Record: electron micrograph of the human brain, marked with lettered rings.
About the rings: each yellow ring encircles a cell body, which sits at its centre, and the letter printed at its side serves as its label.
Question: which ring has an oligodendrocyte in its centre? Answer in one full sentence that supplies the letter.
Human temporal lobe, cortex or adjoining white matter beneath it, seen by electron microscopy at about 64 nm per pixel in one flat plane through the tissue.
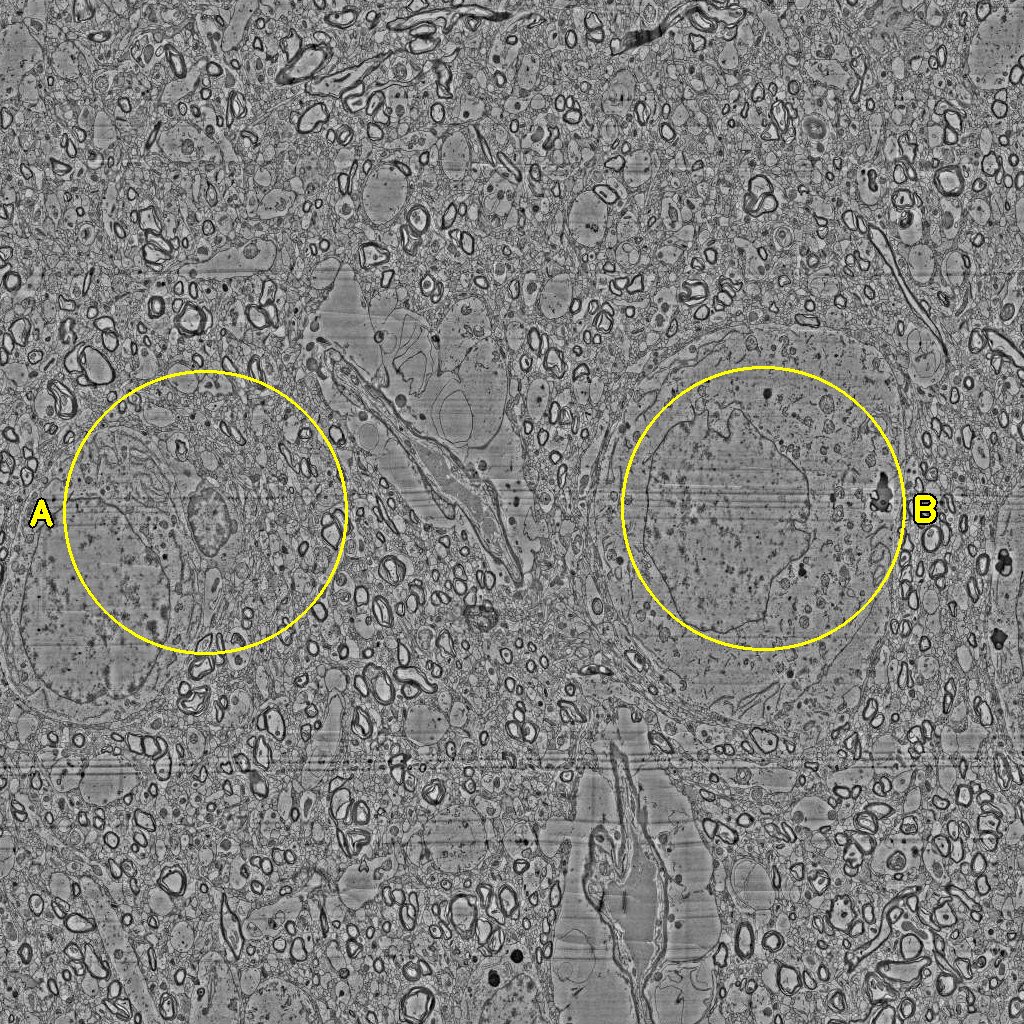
Within the picture, a cell of that kind is centred inside the ring marked A.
